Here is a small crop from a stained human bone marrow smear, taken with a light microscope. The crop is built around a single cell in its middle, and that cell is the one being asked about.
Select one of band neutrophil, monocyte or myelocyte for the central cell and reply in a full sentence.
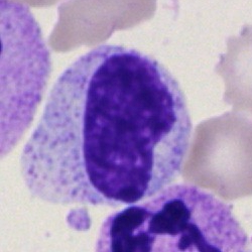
The centrally placed cell is classified as a band neutrophil.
